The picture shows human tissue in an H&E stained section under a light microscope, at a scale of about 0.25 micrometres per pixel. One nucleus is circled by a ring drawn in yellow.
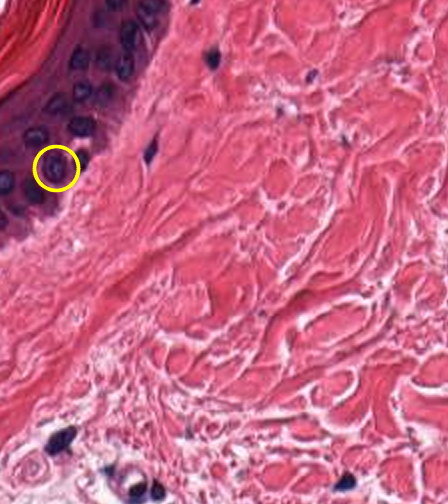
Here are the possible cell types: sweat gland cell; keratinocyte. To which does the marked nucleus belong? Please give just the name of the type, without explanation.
keratinocyte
